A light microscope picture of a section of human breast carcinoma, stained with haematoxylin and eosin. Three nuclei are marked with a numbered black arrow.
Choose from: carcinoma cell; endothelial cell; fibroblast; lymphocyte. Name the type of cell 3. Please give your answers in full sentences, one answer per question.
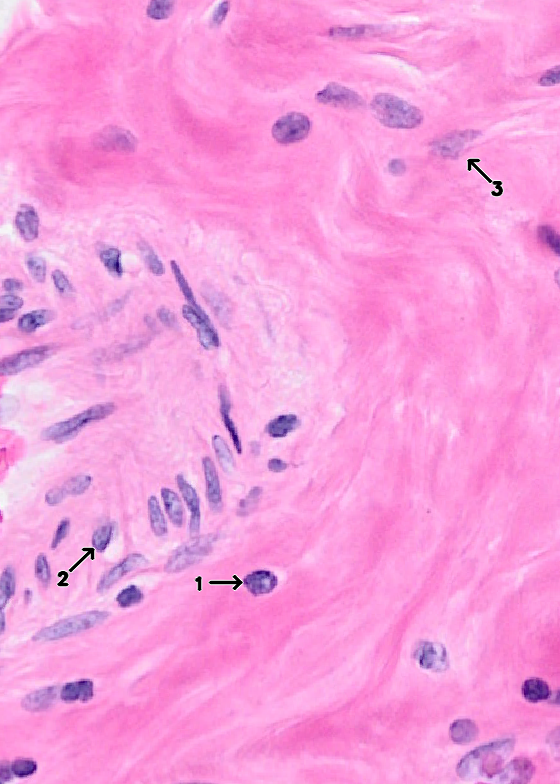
At number 3, the marked cell is a fibroblast.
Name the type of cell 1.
The cell to which the number 1 is assigned is a lymphocyte.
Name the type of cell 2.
In this section, the cell numbered 2 is an endothelial cell.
